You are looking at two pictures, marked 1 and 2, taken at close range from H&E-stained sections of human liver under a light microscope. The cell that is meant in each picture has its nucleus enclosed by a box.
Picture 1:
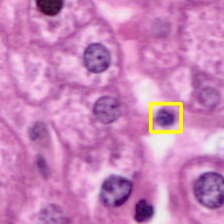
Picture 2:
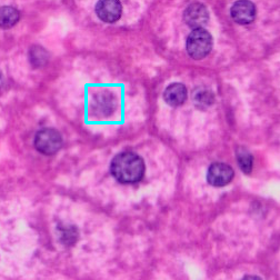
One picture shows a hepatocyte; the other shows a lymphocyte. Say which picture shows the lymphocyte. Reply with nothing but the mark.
1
